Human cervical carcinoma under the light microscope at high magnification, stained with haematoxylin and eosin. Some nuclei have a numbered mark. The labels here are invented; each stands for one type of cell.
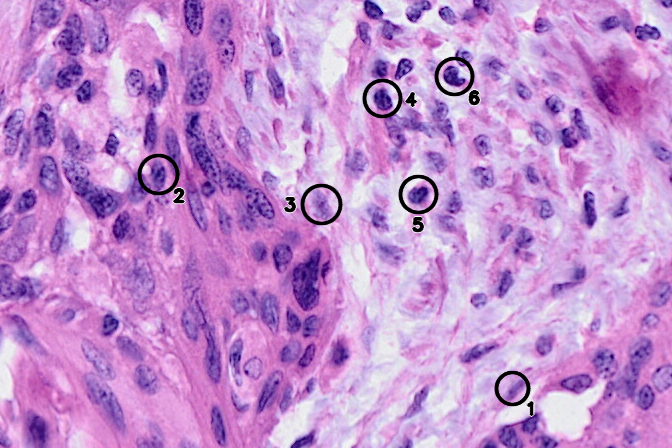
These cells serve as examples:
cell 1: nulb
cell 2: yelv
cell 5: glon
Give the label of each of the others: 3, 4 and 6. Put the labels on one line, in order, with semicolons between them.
nulb; glon; glon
